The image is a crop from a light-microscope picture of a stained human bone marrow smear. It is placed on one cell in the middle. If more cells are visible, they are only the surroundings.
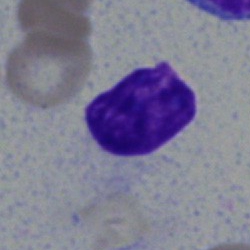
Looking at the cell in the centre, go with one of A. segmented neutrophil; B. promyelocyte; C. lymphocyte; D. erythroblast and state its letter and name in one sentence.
In the middle of the crop is a lymphocyte; option C is therefore correct.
